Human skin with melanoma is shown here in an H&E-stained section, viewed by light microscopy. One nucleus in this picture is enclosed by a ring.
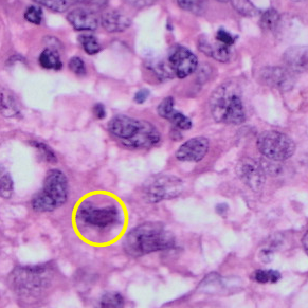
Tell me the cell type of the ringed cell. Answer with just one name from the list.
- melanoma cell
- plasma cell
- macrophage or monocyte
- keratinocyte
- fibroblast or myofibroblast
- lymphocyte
melanoma cell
